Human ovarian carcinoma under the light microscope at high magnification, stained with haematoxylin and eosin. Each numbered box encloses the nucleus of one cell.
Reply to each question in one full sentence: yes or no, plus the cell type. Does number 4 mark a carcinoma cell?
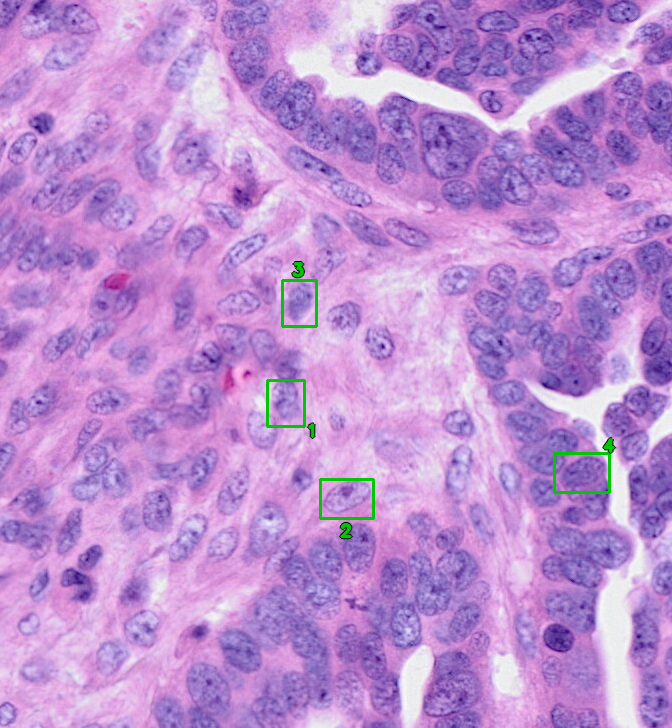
Yes, that is correct: the cell numbered 4 is a carcinoma cell.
